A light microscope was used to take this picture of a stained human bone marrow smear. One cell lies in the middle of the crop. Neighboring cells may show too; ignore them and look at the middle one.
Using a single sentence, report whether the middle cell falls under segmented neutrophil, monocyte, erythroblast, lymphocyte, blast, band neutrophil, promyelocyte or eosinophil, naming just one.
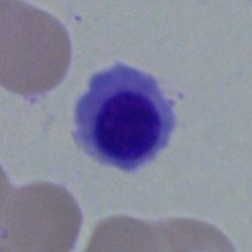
The cell marked by its central position in the crop is an erythroblast.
